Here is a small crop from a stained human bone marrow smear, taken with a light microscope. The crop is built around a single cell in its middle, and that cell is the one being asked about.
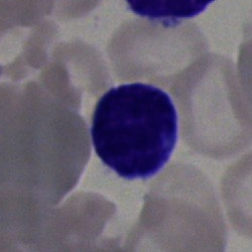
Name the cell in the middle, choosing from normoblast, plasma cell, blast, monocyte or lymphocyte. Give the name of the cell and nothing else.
lymphocyte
